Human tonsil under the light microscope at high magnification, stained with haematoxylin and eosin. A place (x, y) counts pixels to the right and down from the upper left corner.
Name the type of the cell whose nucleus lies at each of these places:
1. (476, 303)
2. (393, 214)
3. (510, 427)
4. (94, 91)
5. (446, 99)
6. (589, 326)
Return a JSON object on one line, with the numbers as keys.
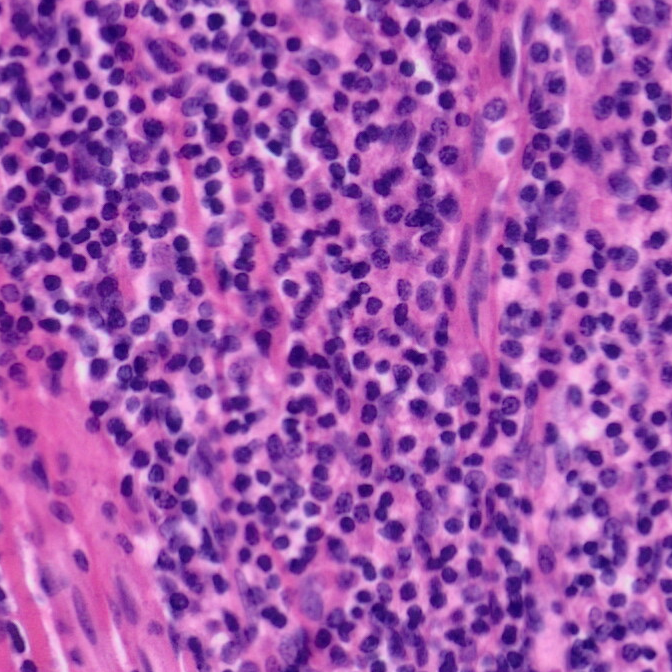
{"1": "endothelial cell", "2": "plasma cell", "3": "small lymphocyte", "4": "small lymphocyte", "5": "plasma cell", "6": "plasma cell"}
